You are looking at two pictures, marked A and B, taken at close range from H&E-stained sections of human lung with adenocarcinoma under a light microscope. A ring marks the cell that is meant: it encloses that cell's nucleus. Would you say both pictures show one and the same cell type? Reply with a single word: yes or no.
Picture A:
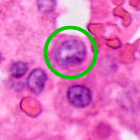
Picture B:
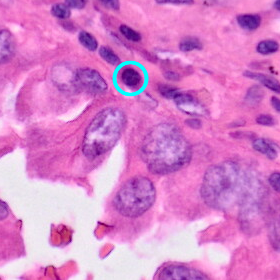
no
